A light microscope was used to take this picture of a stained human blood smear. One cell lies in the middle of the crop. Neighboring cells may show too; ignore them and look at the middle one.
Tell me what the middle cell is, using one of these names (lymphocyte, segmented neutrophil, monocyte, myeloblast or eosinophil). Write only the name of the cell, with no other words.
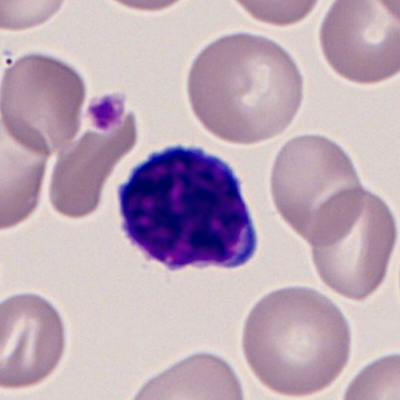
lymphocyte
